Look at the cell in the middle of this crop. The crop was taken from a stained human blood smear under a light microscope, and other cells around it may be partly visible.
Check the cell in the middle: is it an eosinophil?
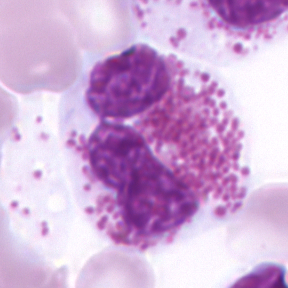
yes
